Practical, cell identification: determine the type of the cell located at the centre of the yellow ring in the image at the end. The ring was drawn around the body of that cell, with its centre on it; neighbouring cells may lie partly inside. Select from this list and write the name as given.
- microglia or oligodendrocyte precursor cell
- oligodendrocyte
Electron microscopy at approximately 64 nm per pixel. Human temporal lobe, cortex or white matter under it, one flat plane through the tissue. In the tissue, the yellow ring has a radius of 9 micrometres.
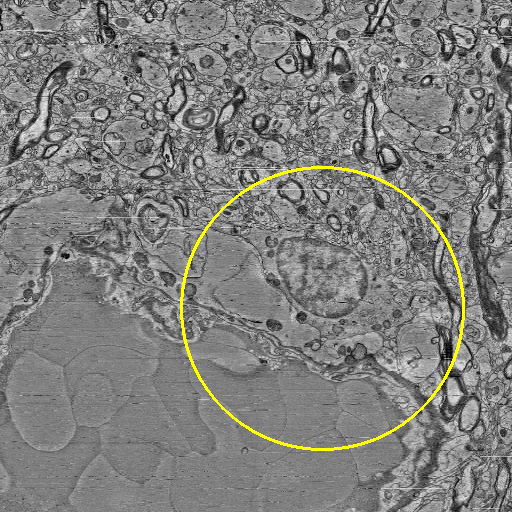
oligodendrocyte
